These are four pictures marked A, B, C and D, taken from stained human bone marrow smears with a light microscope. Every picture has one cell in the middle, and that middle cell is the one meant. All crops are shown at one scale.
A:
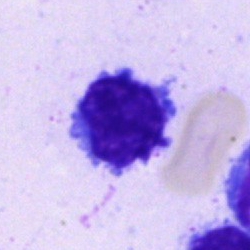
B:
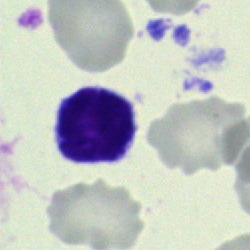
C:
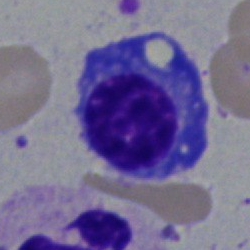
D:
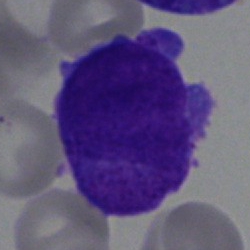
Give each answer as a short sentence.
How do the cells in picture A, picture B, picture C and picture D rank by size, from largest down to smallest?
The order is D, C, A, B, beginning with the largest.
